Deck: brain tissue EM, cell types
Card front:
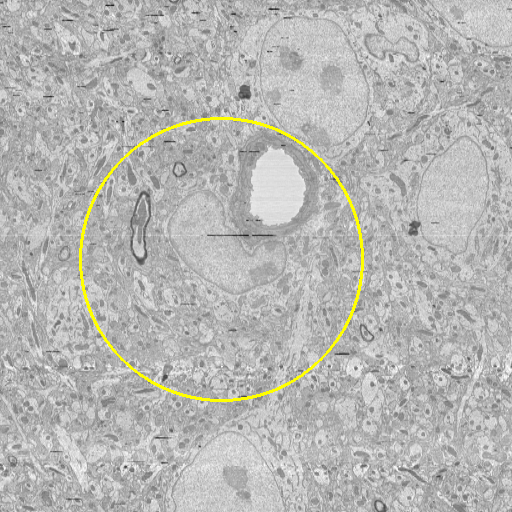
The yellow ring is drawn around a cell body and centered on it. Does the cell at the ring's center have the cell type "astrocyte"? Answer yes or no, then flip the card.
yes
